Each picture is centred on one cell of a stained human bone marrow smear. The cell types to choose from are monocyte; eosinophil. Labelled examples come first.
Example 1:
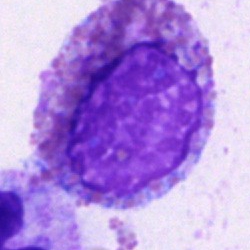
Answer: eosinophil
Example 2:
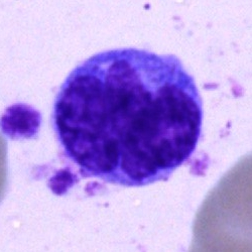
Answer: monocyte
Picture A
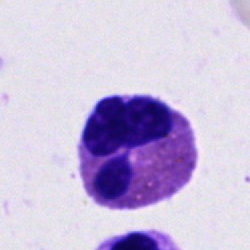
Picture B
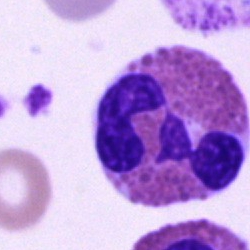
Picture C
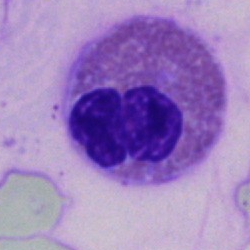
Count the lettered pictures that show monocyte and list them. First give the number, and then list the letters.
0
